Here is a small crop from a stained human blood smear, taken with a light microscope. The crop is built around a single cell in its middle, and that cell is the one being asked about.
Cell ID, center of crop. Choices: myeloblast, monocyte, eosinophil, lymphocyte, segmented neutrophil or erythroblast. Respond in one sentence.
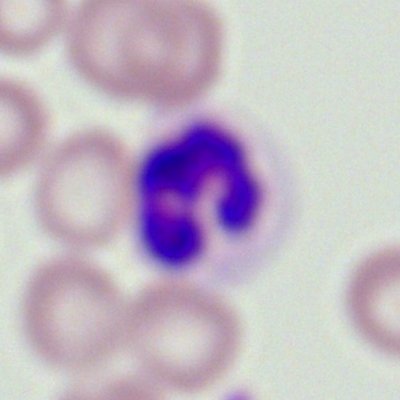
The cell found in the middle of this crop is a segmented neutrophil.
